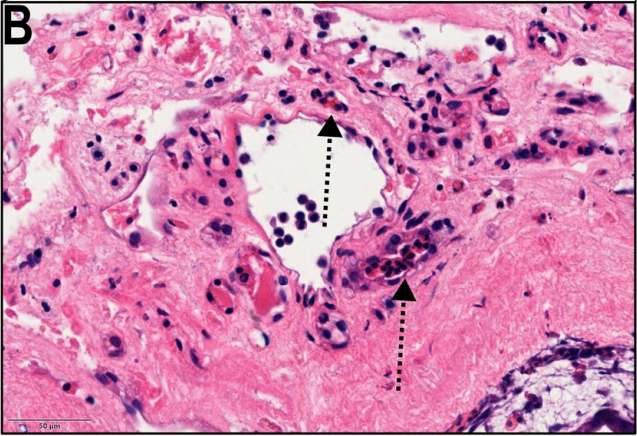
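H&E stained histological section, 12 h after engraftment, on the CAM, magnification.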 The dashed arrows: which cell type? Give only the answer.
Nucleated erythrocytes.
